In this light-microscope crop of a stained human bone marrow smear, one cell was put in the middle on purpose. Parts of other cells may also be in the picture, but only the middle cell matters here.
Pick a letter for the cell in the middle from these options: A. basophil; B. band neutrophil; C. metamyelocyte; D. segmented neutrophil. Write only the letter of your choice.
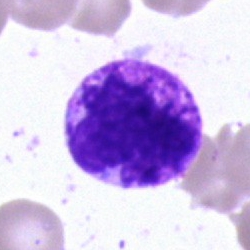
A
